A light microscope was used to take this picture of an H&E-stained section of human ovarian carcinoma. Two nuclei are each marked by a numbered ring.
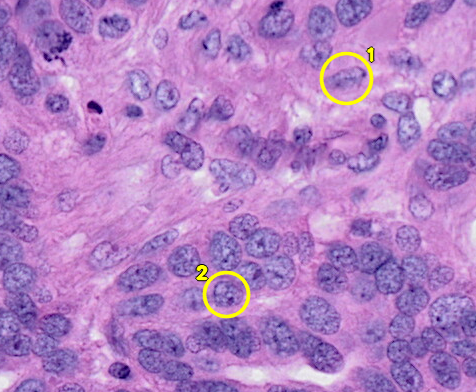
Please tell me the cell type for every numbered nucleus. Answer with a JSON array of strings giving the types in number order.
["fibroblast", "carcinoma cell"]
